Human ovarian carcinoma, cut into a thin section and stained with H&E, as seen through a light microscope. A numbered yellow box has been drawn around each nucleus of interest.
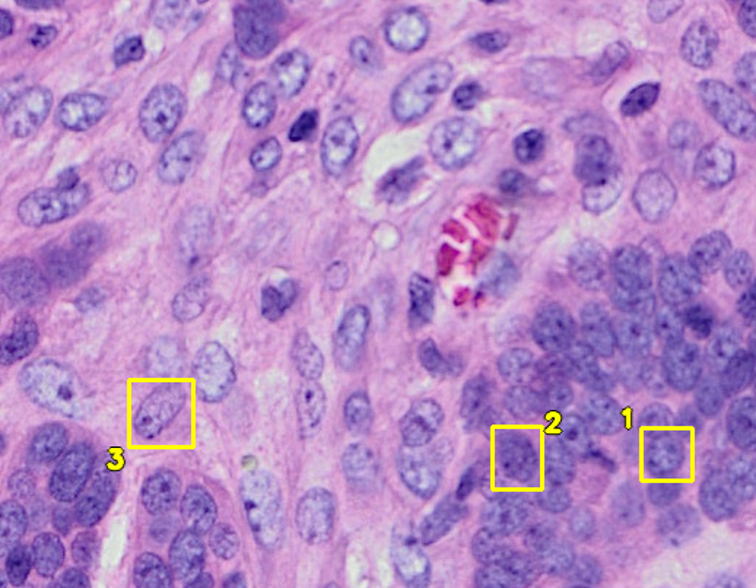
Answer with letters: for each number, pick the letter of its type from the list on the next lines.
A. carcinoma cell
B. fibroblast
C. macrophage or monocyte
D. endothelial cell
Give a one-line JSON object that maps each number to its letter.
{"1": "A", "2": "A", "3": "B"}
